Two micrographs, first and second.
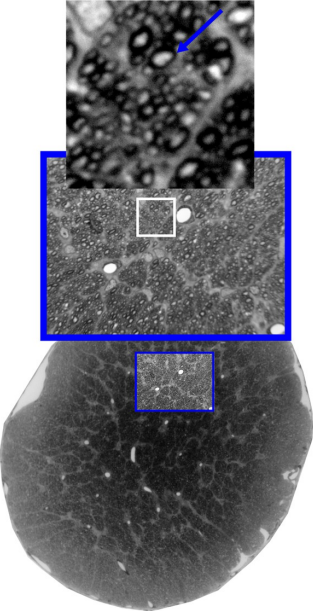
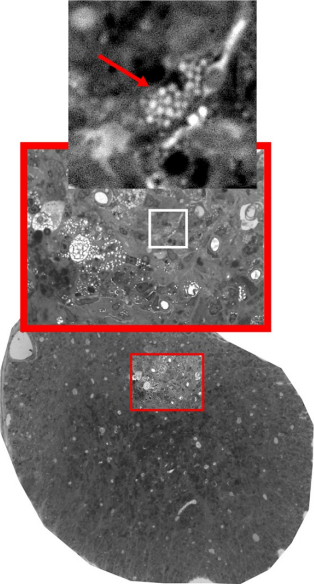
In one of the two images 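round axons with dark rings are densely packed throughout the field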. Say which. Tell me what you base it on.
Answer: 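Second image: few round dark-ringed profiles, with large pale areas and foamy bright vacuoles. First image: many round profiles with bright centres and dark rings fill the enlarged field.
Conclusion: the first image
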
